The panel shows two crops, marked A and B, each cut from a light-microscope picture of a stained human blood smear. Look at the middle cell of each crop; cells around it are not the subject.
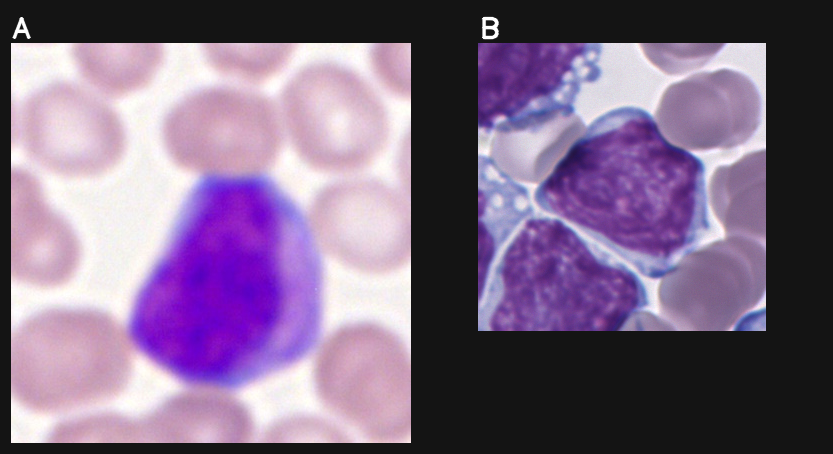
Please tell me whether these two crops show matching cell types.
yes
